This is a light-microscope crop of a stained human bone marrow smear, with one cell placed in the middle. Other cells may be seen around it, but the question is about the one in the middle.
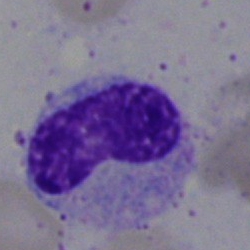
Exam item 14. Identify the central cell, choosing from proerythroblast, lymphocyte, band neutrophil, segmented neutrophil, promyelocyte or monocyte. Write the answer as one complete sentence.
The middle cell in this particular crop is a band neutrophil.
